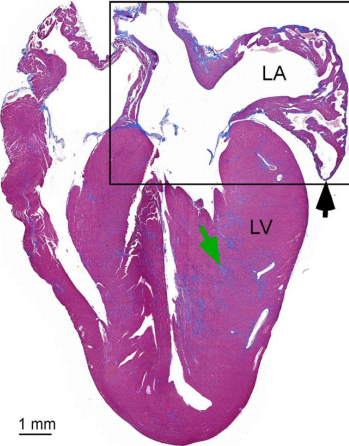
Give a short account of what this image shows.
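Blue streaks and patches run through the ventricular myocardium and along the septum, and a thin blue rim lines parts of the atrial wall. The atrial wall is far thinner than the ventricular wall, and the ventricular cavity is narrow and slit-like.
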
